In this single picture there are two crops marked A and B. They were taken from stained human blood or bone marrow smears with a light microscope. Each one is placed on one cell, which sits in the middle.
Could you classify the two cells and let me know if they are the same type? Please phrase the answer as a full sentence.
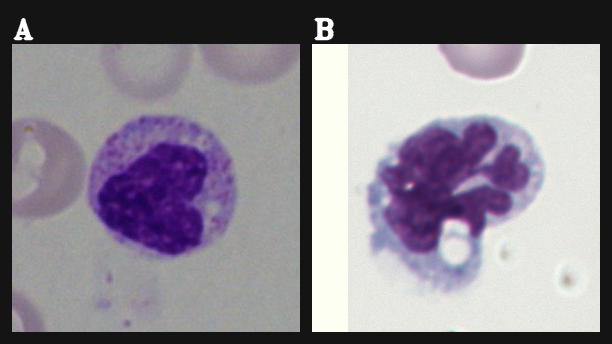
No, the cells are a metamyelocyte in crop A and a monocyte in crop B.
